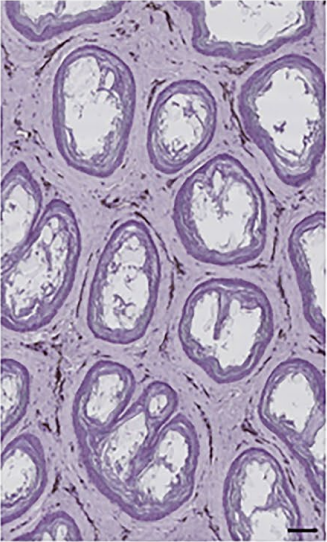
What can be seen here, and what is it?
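The connective tissue between tubules is thin and pale purple with small scattered nuclei. Brown staining appears as short, thin streaks along this stroma rather than as wide open channels, and is scanty overall.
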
